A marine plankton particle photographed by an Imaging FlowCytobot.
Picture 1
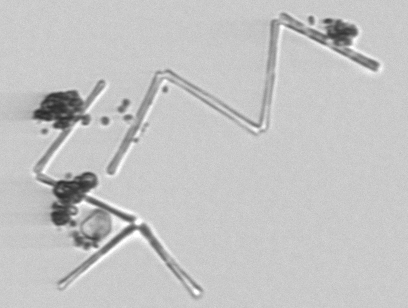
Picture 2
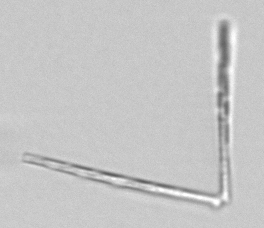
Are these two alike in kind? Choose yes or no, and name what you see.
Yes. Thalassionema.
